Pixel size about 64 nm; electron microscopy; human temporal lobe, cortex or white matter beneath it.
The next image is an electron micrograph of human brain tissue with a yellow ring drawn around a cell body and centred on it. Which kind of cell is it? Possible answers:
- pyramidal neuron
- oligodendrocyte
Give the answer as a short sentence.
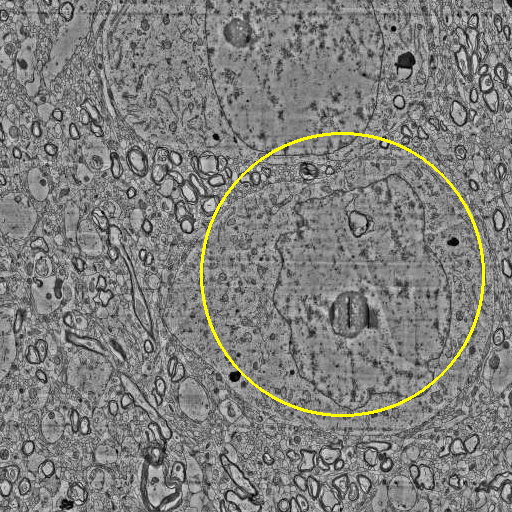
In the ring's centre is a pyramidal neuron.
